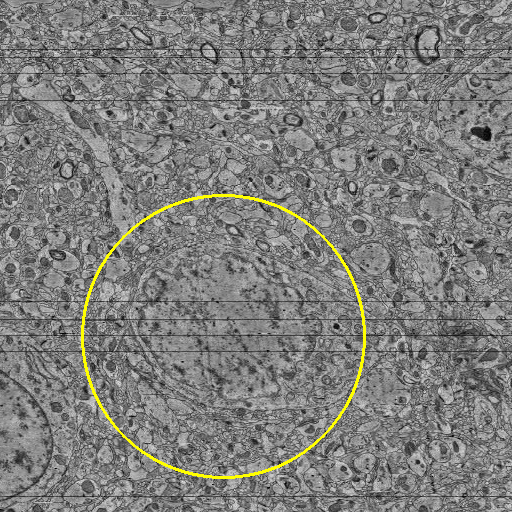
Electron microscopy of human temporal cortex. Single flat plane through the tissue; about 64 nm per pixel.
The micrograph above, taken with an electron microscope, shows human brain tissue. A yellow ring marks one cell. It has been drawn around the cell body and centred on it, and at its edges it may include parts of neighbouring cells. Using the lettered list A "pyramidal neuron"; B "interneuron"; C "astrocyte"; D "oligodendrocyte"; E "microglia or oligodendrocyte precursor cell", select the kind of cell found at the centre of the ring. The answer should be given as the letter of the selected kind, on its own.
B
